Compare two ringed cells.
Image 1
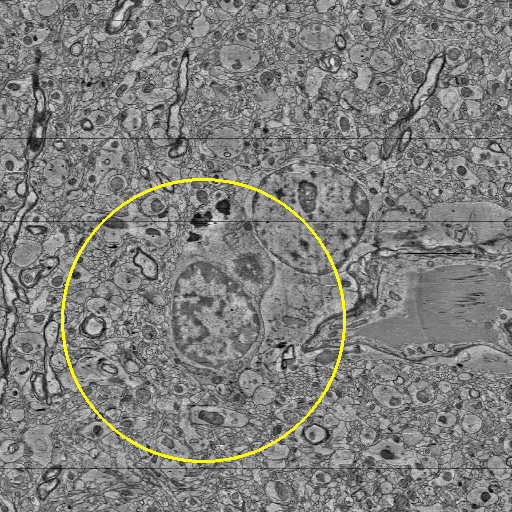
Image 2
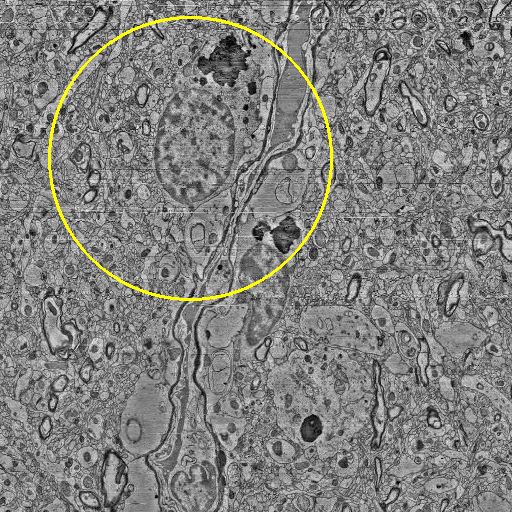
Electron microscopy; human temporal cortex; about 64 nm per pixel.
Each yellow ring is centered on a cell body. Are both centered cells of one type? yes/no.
yes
